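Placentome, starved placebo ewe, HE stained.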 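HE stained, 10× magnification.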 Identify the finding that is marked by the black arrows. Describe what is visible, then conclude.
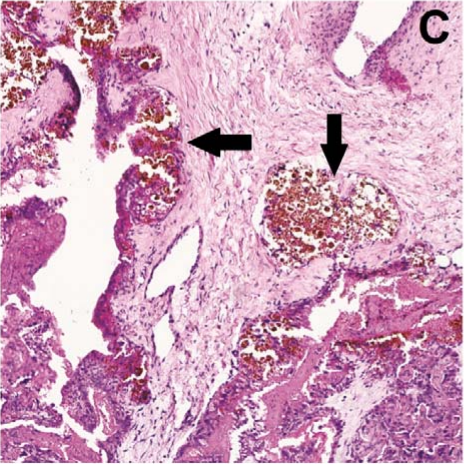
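Erythrophagocytosis. The arrows point to clusters of red-brown granular material. The red-brown material lies packed within or against the lining epithelium of the folded tissue.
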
